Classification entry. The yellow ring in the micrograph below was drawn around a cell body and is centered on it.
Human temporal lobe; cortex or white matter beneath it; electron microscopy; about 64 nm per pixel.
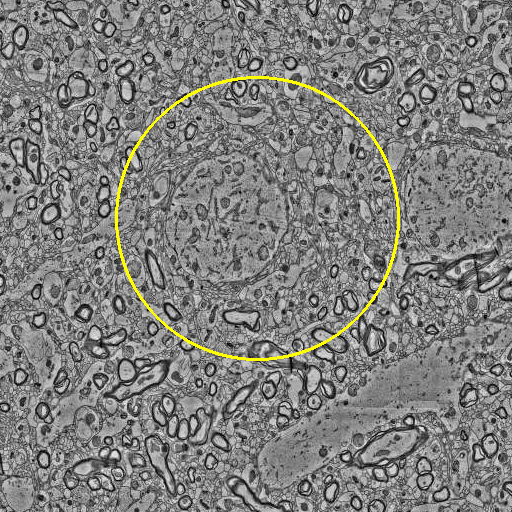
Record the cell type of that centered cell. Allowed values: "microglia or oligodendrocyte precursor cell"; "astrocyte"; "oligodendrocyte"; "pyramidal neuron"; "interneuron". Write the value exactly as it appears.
pyramidal neuron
